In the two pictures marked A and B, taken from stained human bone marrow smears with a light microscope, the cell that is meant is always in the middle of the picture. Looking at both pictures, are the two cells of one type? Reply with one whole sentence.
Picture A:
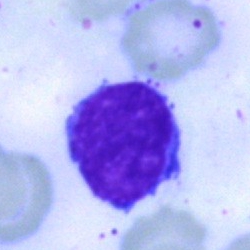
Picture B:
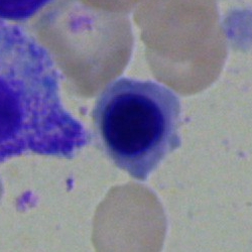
No, picture A shows a lymphocyte and picture B shows an erythroblast.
